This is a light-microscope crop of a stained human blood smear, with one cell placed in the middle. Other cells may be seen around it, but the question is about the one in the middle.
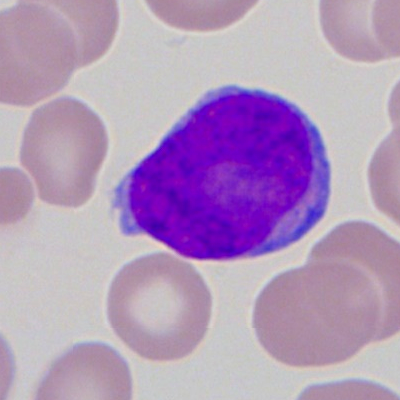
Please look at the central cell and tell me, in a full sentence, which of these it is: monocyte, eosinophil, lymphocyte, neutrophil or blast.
The cell occupying the middle of the crop is a blast.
